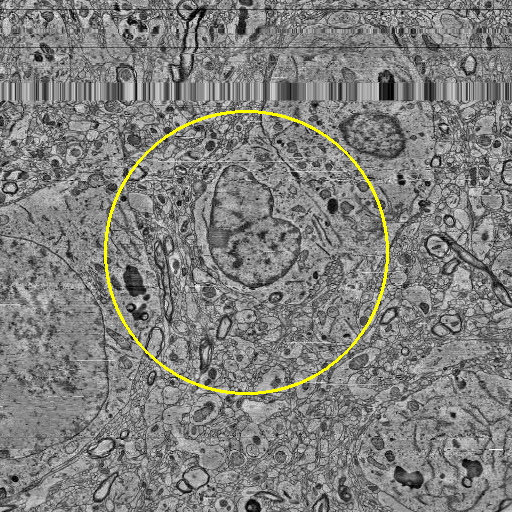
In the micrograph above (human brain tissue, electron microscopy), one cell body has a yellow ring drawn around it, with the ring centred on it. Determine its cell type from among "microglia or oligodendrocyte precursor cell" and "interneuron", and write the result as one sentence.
The cell whose body is ringed is a microglial cell or oligodendrocyte precursor cell.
